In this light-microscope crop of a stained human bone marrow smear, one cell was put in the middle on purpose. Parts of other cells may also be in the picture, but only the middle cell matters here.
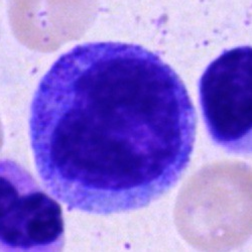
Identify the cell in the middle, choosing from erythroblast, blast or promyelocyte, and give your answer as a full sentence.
The cell found in the middle of this crop is a promyelocyte.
